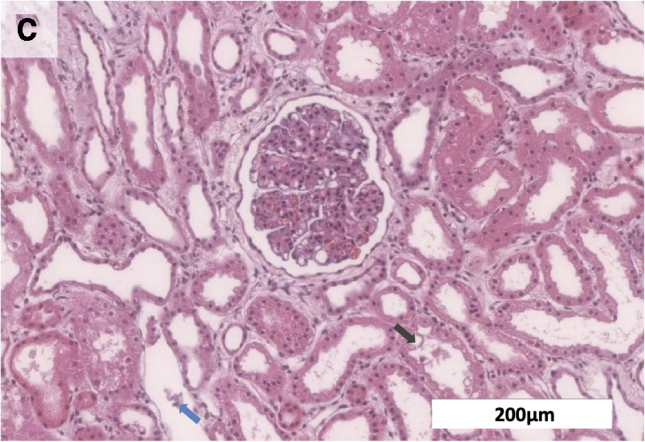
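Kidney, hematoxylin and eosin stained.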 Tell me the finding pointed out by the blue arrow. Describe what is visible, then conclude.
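Loose pink and purple fragmented material lies inside an open tubule lumen. On this evidence: necrotic cell detritus within the tubular lumen.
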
